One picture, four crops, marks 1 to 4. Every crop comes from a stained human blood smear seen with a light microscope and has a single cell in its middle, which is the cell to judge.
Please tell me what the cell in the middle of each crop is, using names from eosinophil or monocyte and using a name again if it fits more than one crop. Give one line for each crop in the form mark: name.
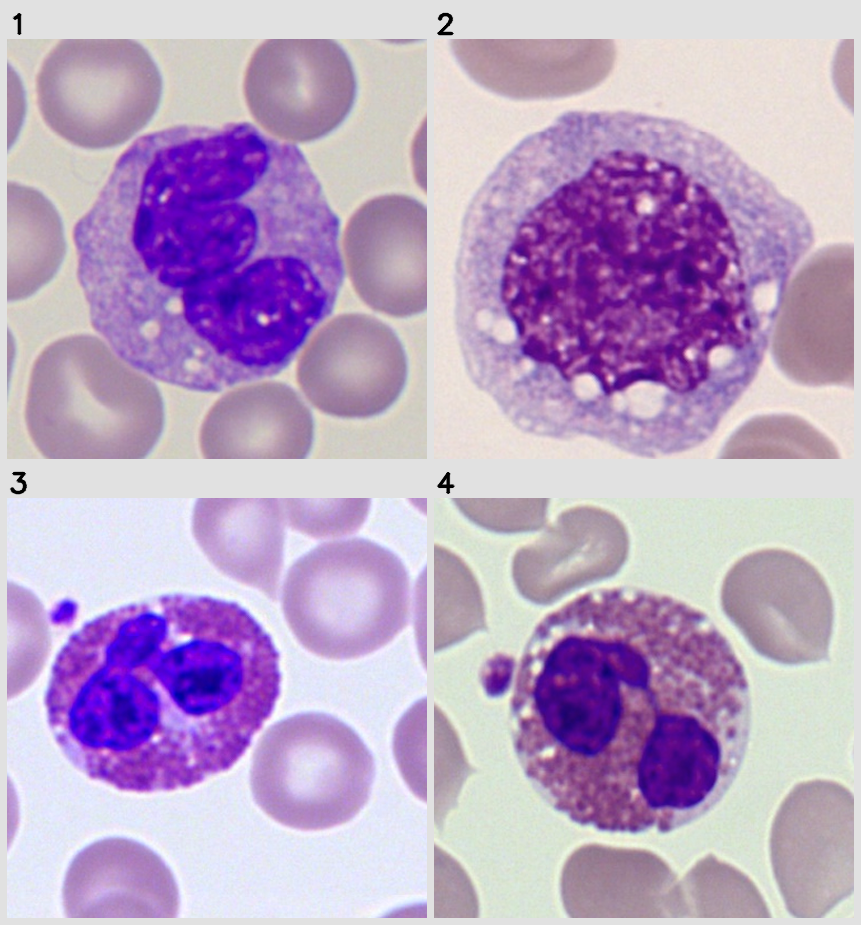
1: monocyte
2: monocyte
3: eosinophil
4: eosinophil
